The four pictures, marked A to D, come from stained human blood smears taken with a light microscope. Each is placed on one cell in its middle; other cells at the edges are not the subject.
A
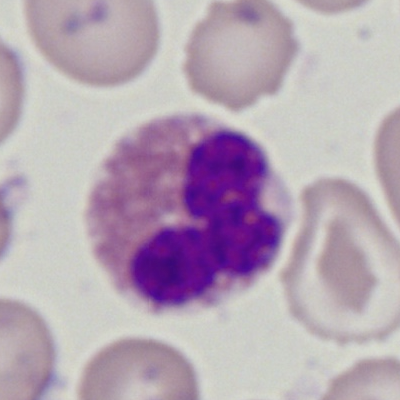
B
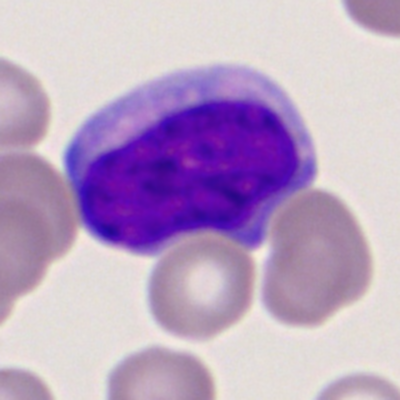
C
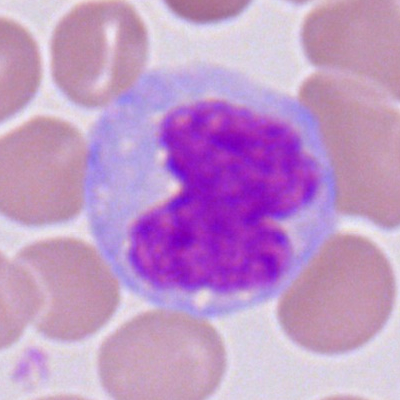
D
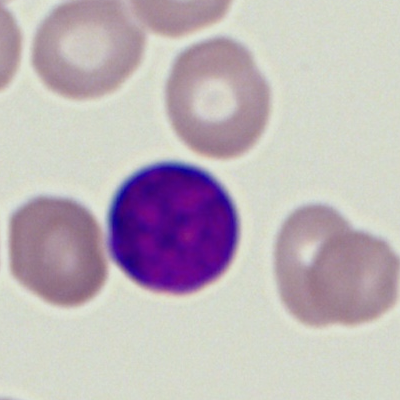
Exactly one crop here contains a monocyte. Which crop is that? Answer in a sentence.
Crop C is where a monocyte is to be found.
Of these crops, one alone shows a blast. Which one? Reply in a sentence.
Of all the crops, crop B is the one showing a blast.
